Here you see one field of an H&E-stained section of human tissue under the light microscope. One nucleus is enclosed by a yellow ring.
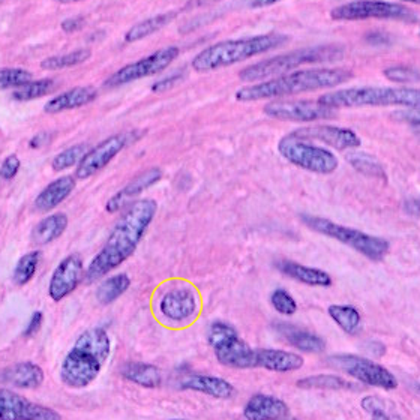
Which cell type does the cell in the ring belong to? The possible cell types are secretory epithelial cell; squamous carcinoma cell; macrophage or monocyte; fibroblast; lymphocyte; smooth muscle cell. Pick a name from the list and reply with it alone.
smooth muscle cell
